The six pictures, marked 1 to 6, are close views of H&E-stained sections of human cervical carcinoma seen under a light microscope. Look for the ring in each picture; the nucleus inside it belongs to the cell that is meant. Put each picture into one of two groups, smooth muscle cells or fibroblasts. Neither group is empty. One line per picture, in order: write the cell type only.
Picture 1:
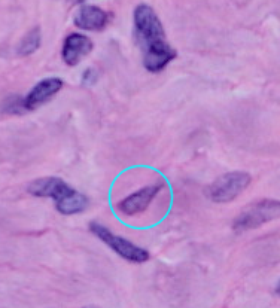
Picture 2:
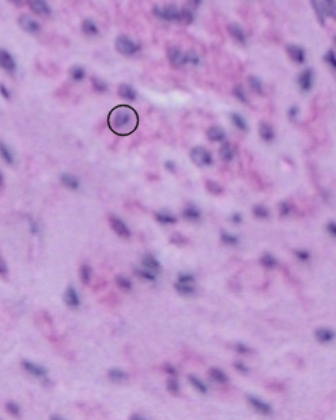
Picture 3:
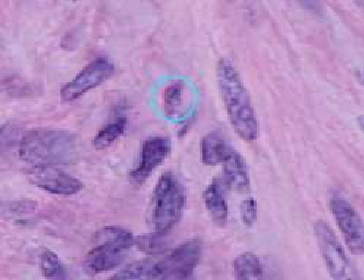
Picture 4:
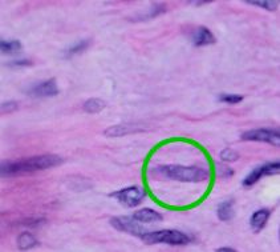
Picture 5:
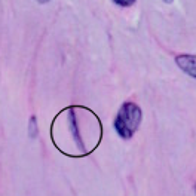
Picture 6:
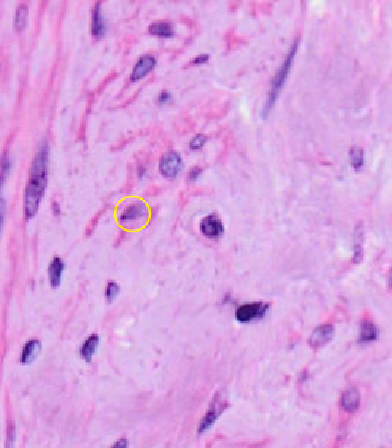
fibroblast
smooth muscle cell
smooth muscle cell
smooth muscle cell
fibroblast
smooth muscle cell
